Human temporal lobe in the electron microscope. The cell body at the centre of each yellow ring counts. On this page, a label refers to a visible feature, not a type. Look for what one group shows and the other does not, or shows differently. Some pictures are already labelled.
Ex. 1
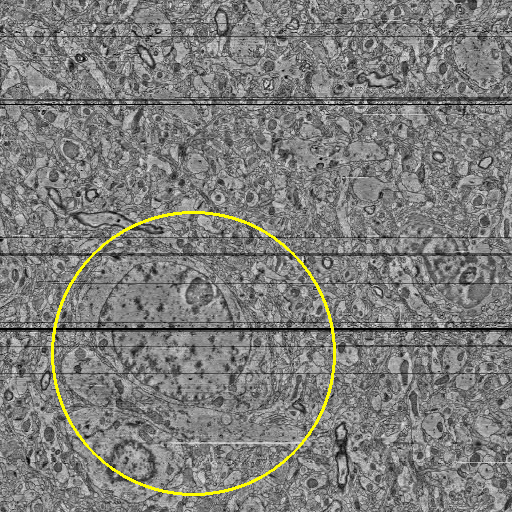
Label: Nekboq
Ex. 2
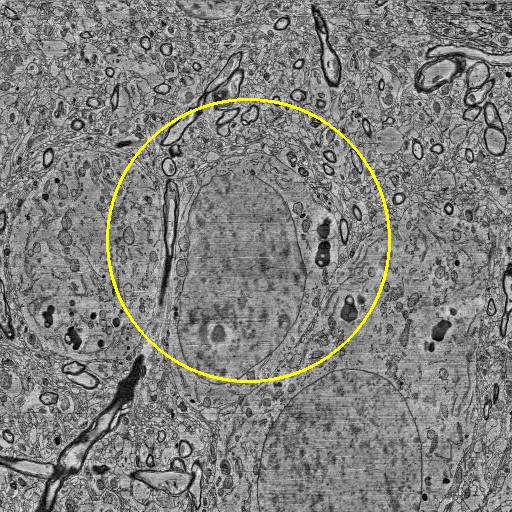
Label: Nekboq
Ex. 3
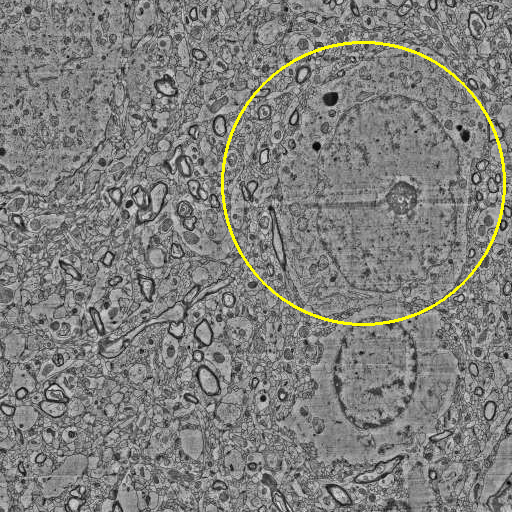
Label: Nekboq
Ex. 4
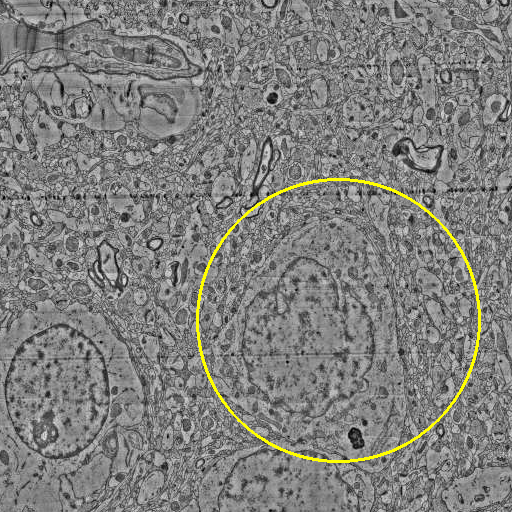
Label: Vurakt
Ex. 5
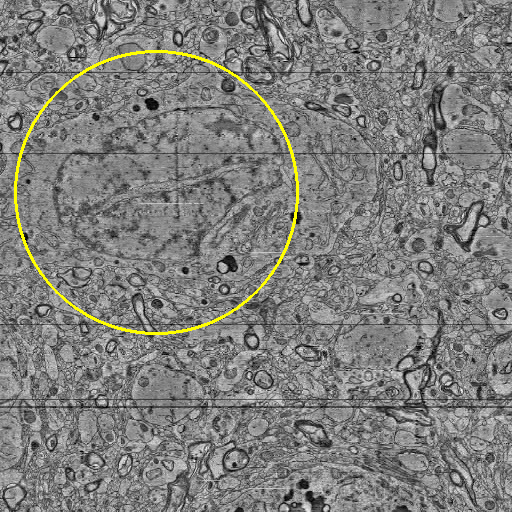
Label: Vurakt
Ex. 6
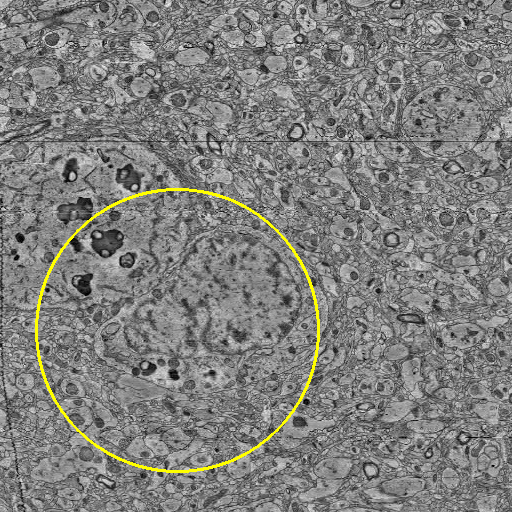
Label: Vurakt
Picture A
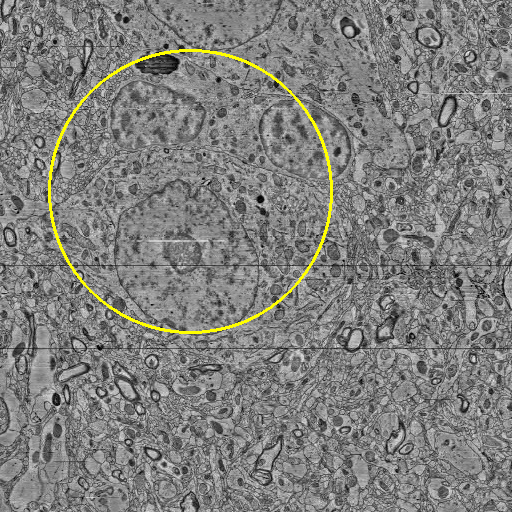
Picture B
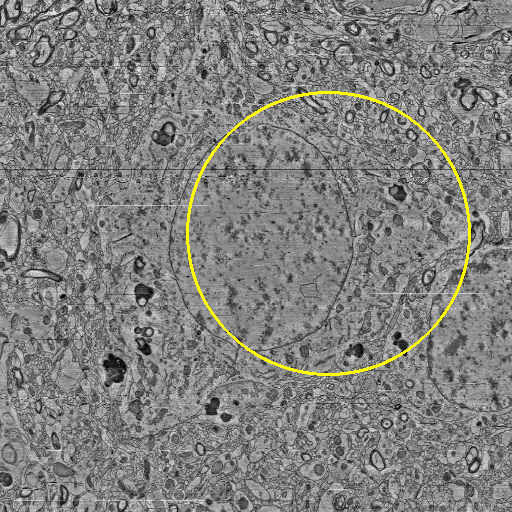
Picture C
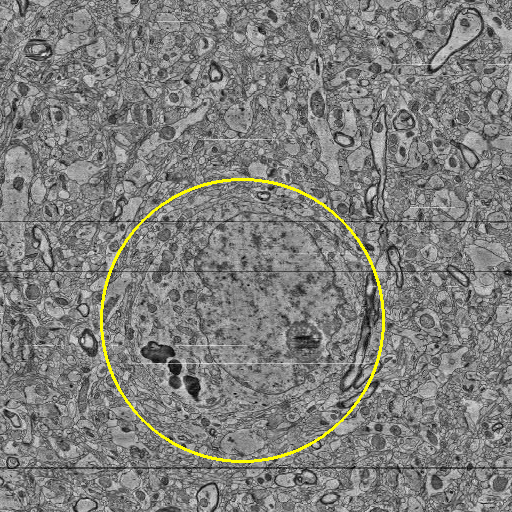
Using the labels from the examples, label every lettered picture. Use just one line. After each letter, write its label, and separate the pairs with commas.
A Nekboq, B Vurakt, C Nekboq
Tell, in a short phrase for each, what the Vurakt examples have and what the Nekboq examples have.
Vurakt: no nucleolus seen; Nekboq: nucleolus seen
